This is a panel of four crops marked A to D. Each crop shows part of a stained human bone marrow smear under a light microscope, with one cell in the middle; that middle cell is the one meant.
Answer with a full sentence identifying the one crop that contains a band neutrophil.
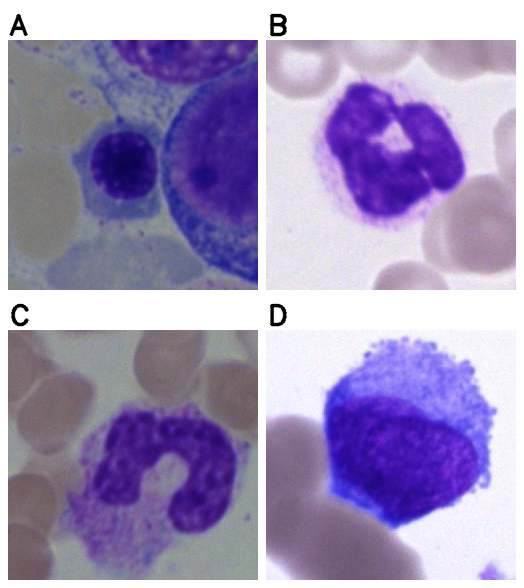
In this series, a band neutrophil is shown by crop C.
